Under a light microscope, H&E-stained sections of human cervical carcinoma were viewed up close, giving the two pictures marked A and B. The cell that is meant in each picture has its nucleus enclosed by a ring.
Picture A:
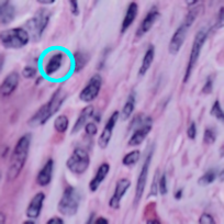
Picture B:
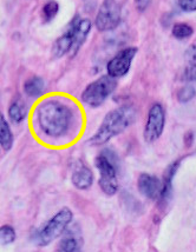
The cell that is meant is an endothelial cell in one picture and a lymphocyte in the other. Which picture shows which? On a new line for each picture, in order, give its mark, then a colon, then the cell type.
A: lymphocyte
B: endothelial cell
